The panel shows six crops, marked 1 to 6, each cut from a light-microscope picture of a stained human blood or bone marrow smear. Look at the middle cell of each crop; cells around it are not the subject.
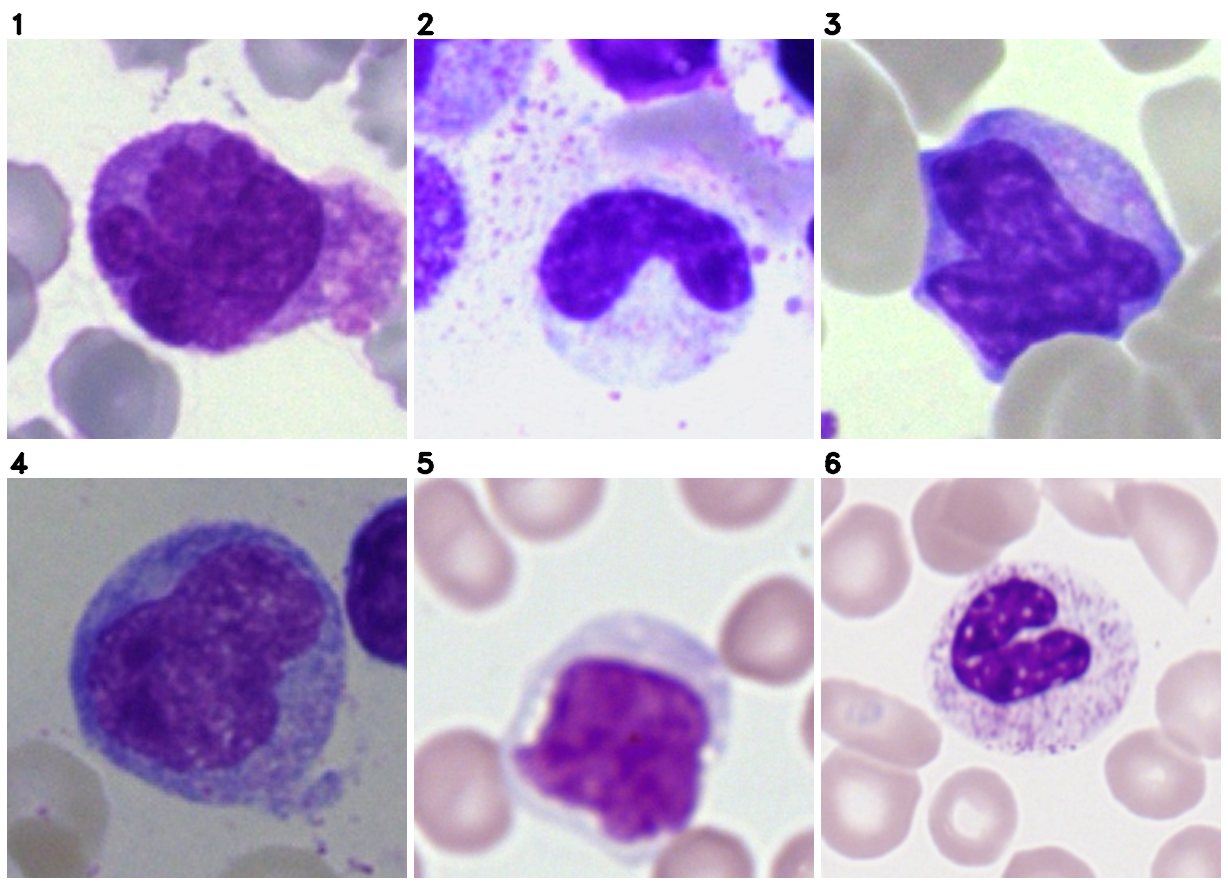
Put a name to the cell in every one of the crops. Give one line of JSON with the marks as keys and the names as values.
{"1": "monocyte", "2": "band neutrophil", "3": "monocyte", "4": "monocyte", "5": "monocyte", "6": "band neutrophil"}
